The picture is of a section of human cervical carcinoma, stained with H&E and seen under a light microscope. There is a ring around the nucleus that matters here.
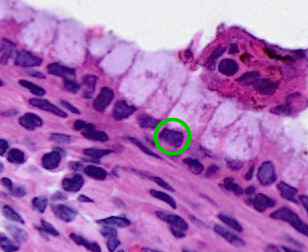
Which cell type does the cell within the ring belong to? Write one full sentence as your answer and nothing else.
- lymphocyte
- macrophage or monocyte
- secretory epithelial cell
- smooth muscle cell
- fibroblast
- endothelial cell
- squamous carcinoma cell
The classification of the cell within the ring is as a secretory epithelial cell.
